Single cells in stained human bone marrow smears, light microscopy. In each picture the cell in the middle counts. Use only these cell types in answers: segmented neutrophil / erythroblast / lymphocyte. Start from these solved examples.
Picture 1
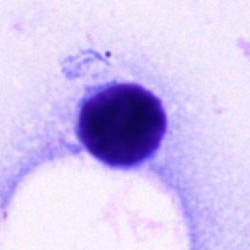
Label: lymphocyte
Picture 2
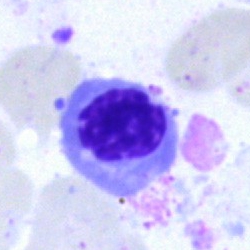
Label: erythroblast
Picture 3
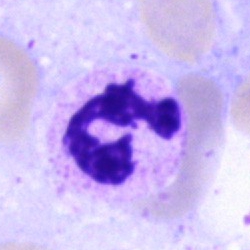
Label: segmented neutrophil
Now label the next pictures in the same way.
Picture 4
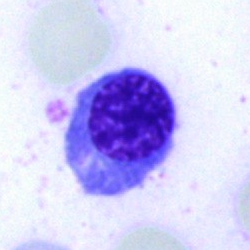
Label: erythroblast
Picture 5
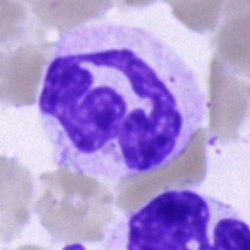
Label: segmented neutrophil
